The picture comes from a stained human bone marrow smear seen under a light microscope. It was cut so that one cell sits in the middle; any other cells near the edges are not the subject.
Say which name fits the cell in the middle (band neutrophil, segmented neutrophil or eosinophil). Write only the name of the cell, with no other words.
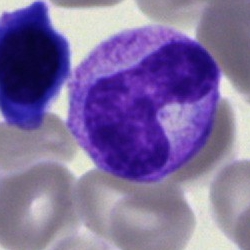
band neutrophil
